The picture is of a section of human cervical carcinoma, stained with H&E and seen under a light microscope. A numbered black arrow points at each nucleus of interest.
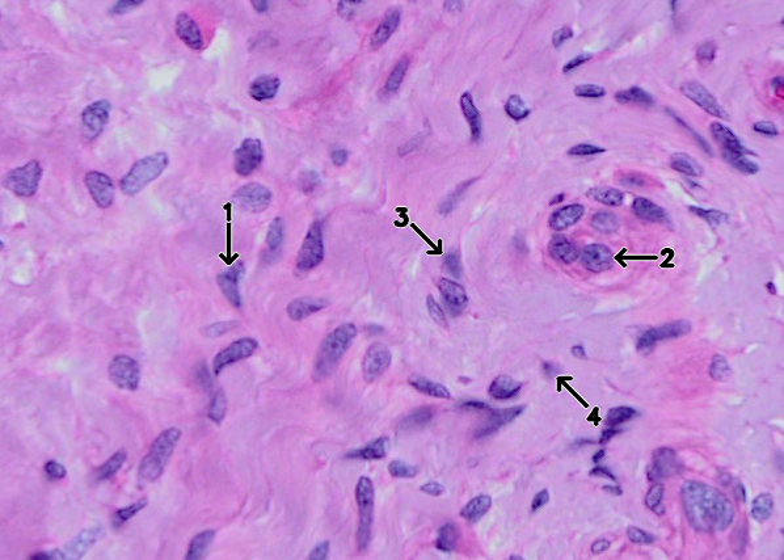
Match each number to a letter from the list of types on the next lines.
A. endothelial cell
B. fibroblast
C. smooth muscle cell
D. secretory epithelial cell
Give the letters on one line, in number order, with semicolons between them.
B; A; B; B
